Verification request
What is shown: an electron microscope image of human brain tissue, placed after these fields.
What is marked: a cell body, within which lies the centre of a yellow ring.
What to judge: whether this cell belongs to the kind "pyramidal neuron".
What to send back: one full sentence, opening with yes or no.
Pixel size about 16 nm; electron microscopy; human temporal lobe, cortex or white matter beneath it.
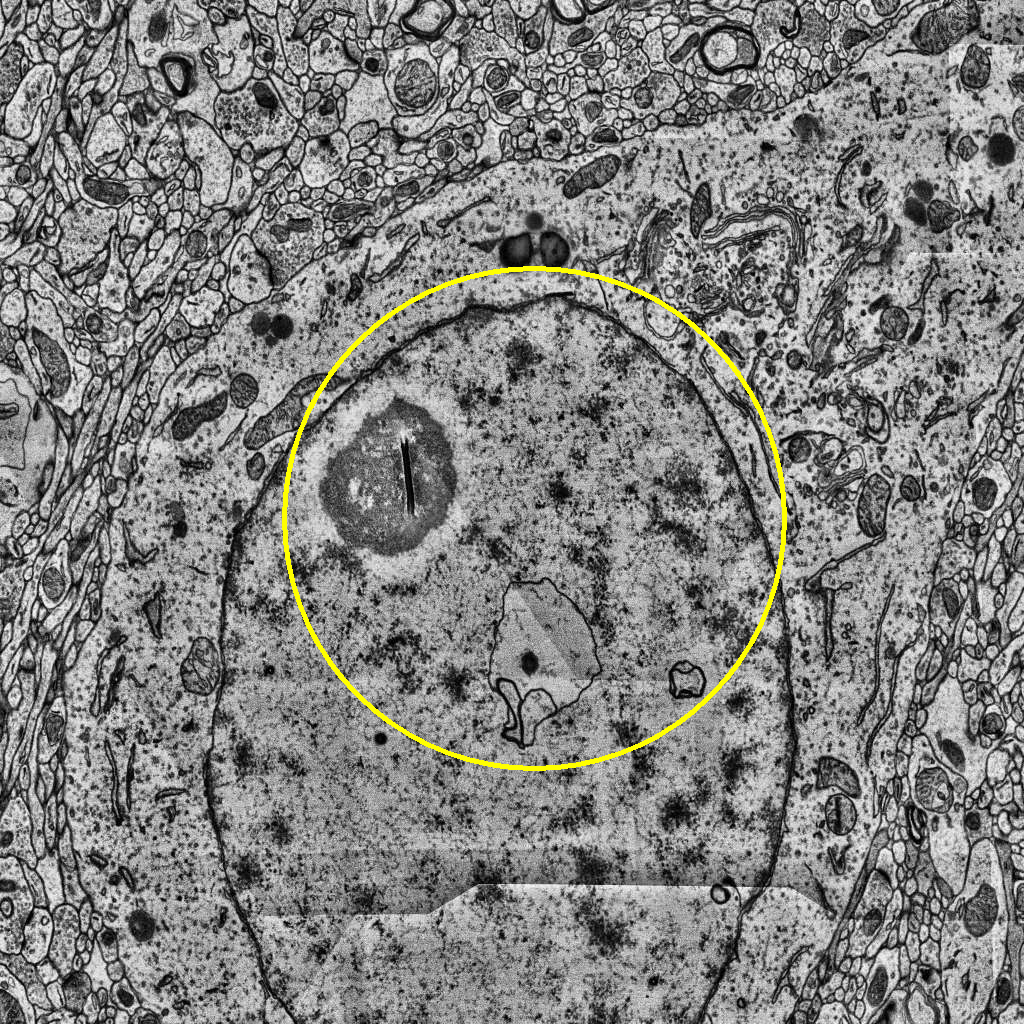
Yes, the cell whose body holds the centre of the yellow ring in the picture is of that kind.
